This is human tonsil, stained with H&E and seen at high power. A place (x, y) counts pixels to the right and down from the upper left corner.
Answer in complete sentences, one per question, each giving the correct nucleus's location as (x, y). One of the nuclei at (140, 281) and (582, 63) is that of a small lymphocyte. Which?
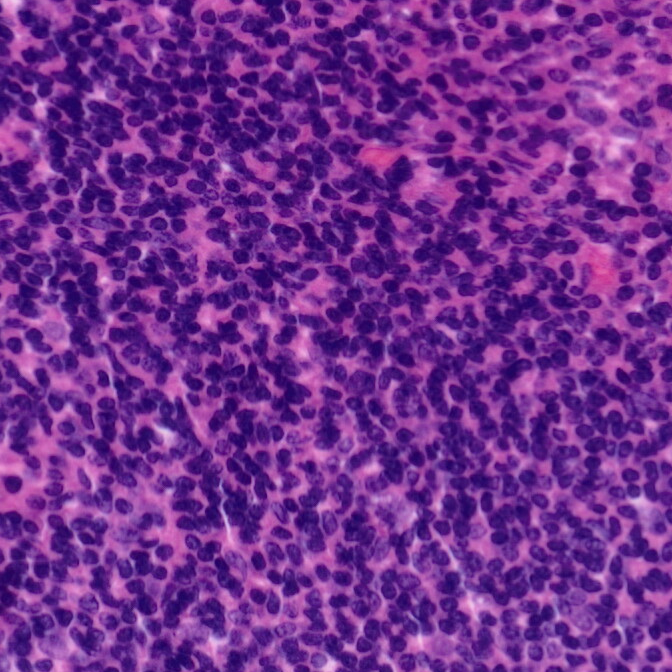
The nucleus at (140, 281), rather than the other one, belongs to a small lymphocyte.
